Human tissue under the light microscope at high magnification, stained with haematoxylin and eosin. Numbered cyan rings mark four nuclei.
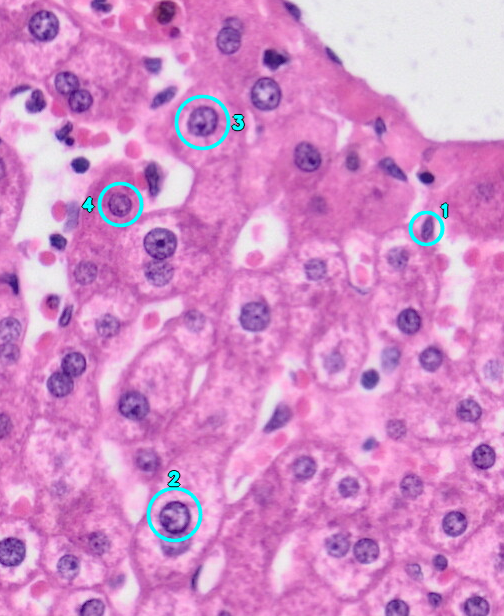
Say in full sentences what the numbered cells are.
Cell 1 is a Kupffer cell, cell 2 is a hepatocyte, cell 3 is a hepatocyte and cell 4 is a hepatocyte.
